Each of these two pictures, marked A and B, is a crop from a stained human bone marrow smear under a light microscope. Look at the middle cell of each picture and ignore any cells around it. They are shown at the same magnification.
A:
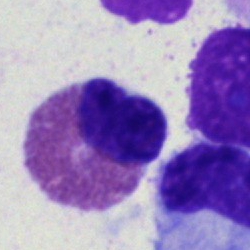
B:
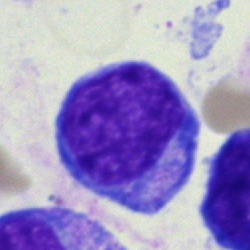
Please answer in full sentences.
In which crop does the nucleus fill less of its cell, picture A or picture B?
It is the cell in picture A that is filled less by its nucleus.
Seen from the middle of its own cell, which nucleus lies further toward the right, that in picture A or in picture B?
The nucleus in picture A lies further toward the right of its cell.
